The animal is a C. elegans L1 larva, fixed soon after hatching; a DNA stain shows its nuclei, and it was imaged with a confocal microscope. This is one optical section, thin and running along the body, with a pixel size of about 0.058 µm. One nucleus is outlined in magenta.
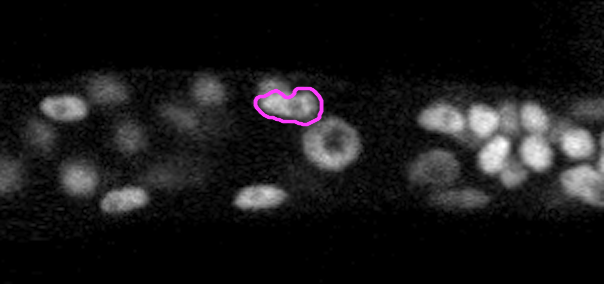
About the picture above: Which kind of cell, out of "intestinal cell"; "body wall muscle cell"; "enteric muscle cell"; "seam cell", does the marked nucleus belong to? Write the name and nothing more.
body wall muscle cell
